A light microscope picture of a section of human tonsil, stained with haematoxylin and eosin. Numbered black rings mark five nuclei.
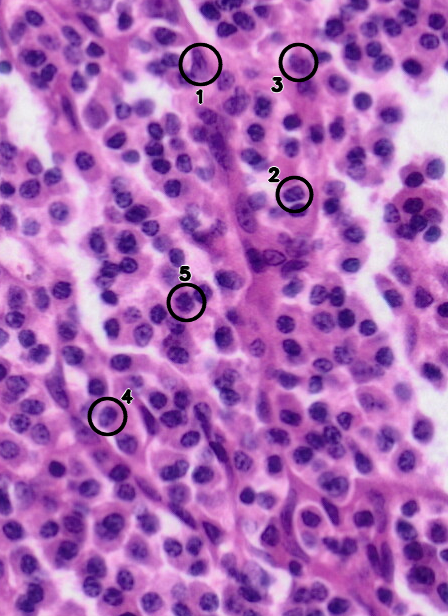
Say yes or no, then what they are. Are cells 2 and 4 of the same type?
Yes, cell number 2 and cell number 4 are both plasma cells.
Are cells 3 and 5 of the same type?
No, cell 3 is typed as a squamous epithelial cell, and cell 5 is typed as a plasma cell.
